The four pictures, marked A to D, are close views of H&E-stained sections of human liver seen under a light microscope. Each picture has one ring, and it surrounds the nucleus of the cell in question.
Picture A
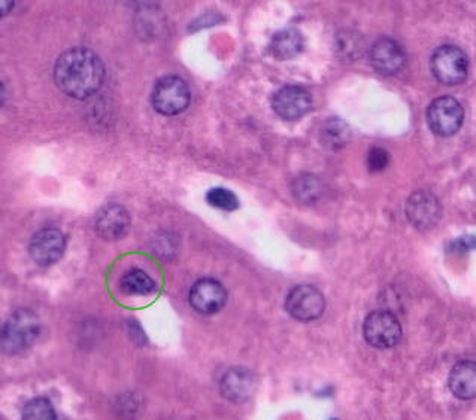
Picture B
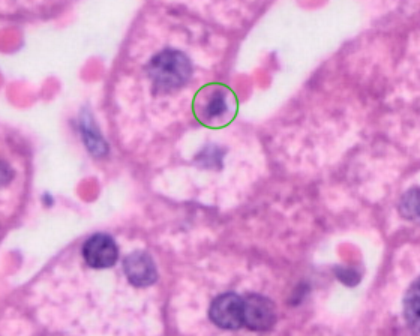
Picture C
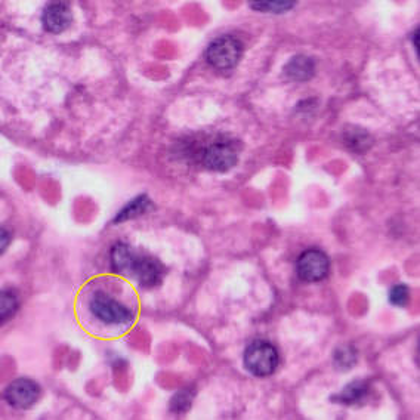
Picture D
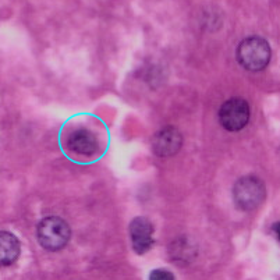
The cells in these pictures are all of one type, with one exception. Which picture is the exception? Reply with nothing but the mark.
D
